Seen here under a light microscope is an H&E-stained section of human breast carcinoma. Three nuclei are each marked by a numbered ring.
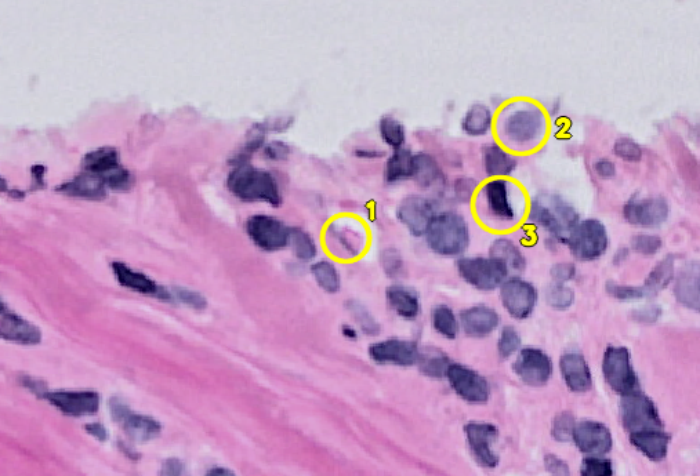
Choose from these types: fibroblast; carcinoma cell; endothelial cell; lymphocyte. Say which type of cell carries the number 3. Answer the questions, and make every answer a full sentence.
Here the cell numbered 3 is a carcinoma cell.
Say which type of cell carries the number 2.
In this section, number 2 marks a carcinoma cell.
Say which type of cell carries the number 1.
Recognised here as an endothelial cell is the cell numbered 1.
